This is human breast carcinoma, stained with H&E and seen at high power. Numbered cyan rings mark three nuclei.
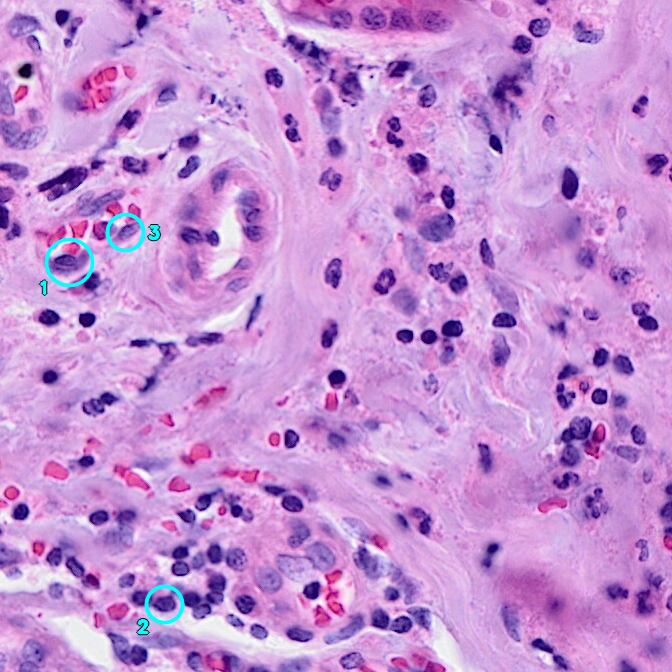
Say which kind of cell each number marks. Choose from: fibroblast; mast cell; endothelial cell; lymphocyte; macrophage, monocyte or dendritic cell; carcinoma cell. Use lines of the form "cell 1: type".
cell 1: endothelial cell
cell 2: lymphocyte
cell 3: endothelial cell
